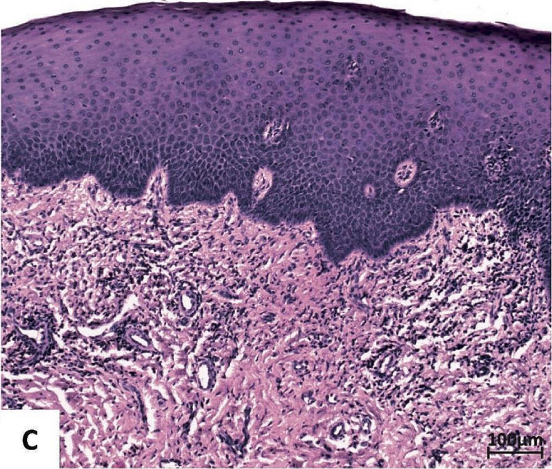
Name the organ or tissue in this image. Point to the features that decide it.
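A thick layered epithelium of flattened and polygonal cells lies over pink fibrous tissue. The basal layer is dark purple and densely nucleated, becoming paler toward the surface. The answer: squamous mucosa.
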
